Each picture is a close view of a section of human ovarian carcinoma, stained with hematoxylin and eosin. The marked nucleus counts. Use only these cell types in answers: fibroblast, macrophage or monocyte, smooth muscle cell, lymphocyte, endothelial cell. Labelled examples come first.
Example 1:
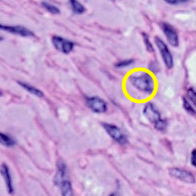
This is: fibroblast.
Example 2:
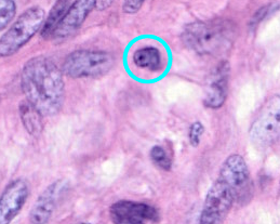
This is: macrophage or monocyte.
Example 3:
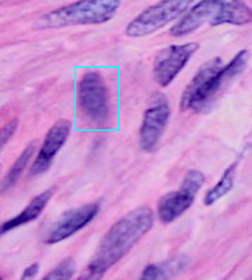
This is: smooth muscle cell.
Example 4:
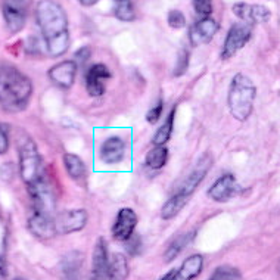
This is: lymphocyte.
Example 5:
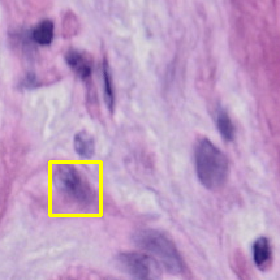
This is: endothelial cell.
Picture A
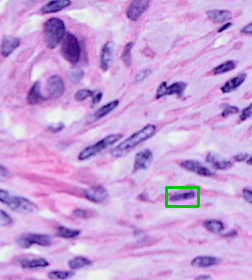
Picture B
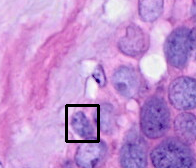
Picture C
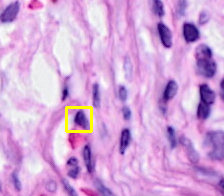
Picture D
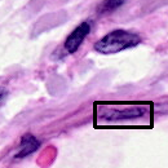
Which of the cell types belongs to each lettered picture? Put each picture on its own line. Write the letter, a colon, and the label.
A: fibroblast.
B: macrophage or monocyte.
C: endothelial cell.
D: endothelial cell.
